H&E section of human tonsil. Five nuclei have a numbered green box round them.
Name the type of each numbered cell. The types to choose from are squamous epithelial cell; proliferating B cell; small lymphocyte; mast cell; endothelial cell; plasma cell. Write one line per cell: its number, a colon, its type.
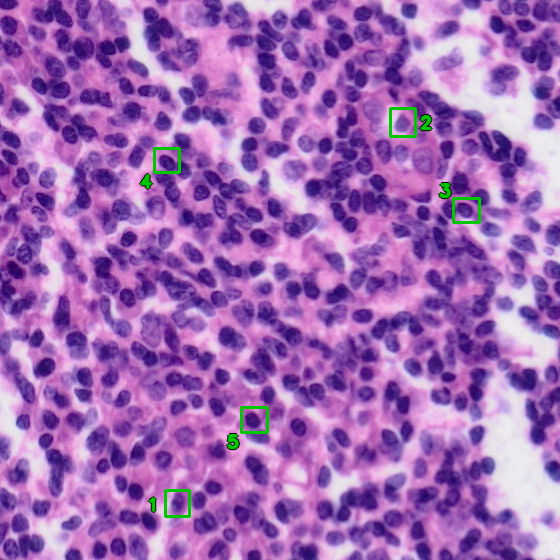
1: plasma cell
2: endothelial cell
3: small lymphocyte
4: small lymphocyte
5: plasma cell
